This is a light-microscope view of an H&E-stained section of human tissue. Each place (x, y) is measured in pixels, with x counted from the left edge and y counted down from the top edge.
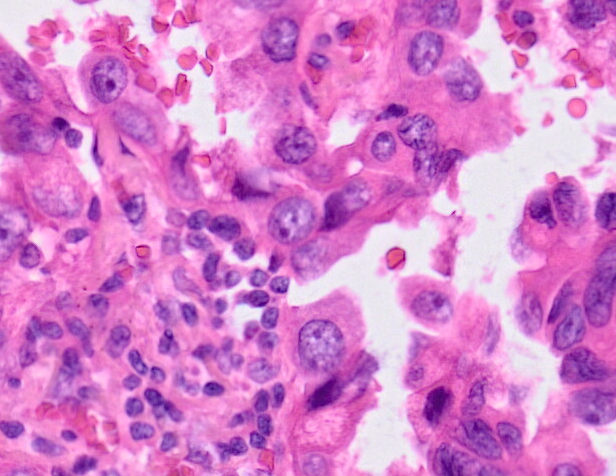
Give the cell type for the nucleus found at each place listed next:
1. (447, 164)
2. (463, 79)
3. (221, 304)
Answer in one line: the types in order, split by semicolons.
carcinoma cell; carcinoma cell; lymphocyte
